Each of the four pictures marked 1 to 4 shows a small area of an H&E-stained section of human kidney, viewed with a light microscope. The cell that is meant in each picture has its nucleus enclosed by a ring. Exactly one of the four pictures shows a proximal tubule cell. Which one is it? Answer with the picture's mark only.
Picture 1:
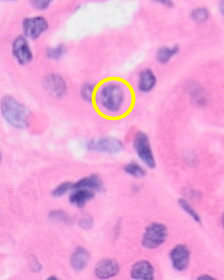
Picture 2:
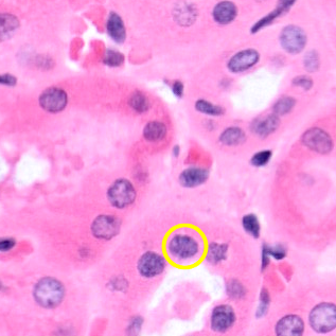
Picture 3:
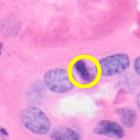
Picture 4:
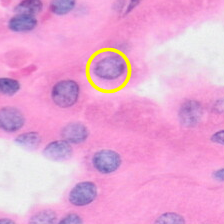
4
